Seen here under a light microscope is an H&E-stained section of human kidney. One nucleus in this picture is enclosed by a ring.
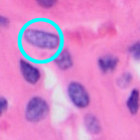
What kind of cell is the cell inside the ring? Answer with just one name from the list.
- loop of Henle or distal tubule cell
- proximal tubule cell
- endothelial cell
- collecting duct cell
collecting duct cell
